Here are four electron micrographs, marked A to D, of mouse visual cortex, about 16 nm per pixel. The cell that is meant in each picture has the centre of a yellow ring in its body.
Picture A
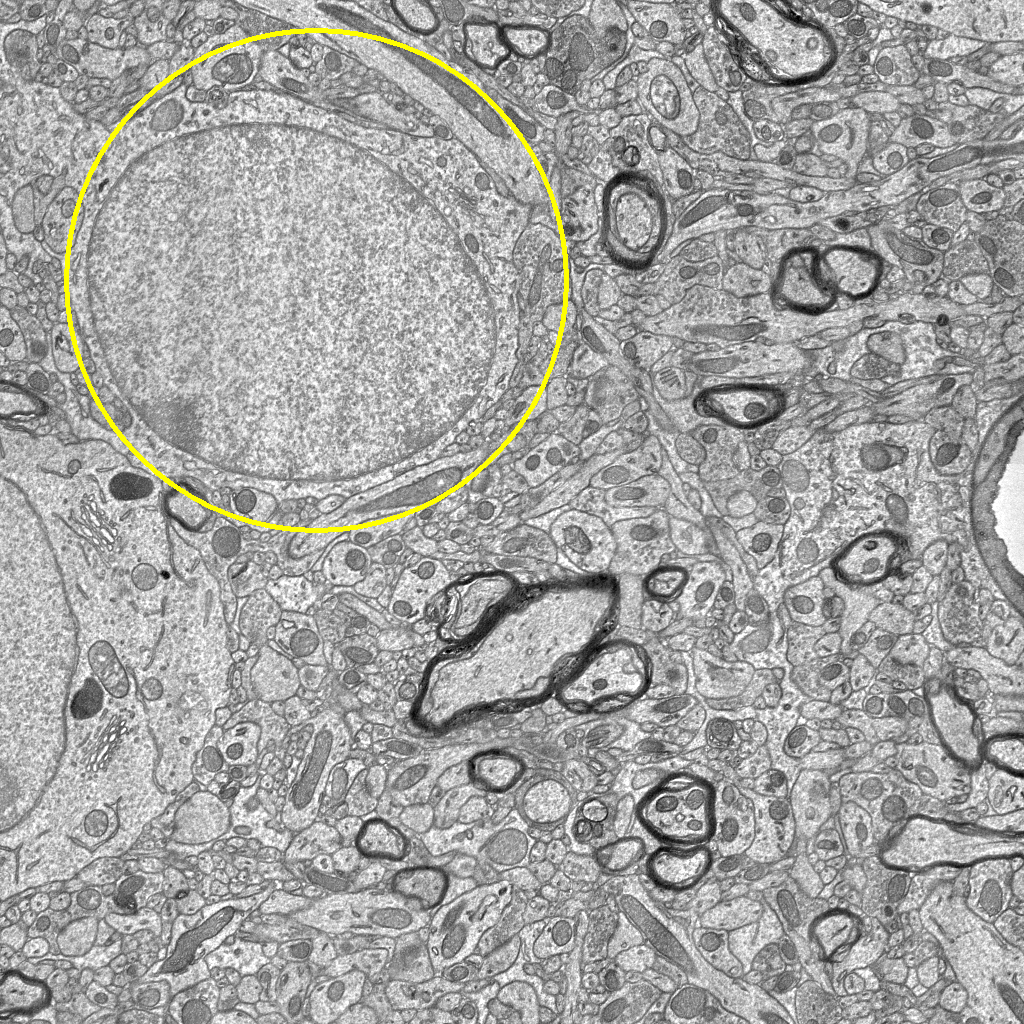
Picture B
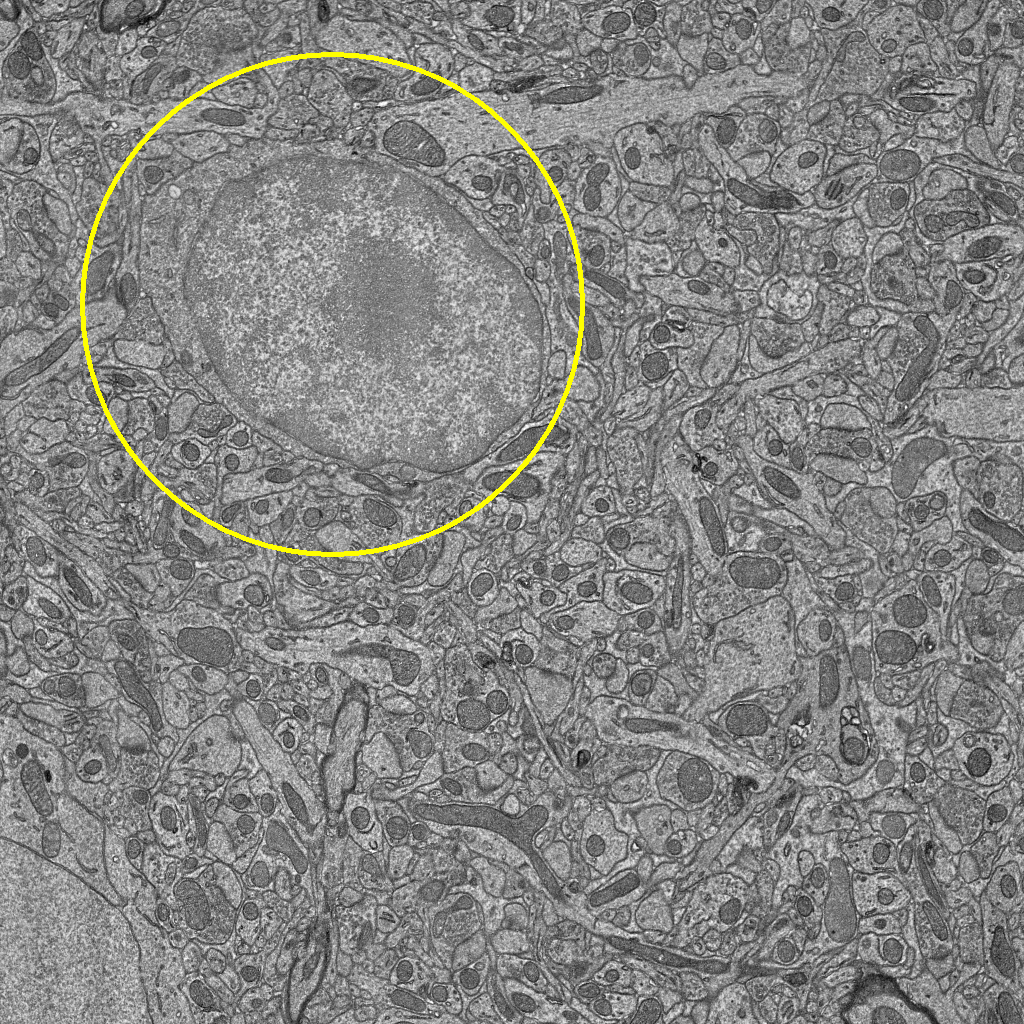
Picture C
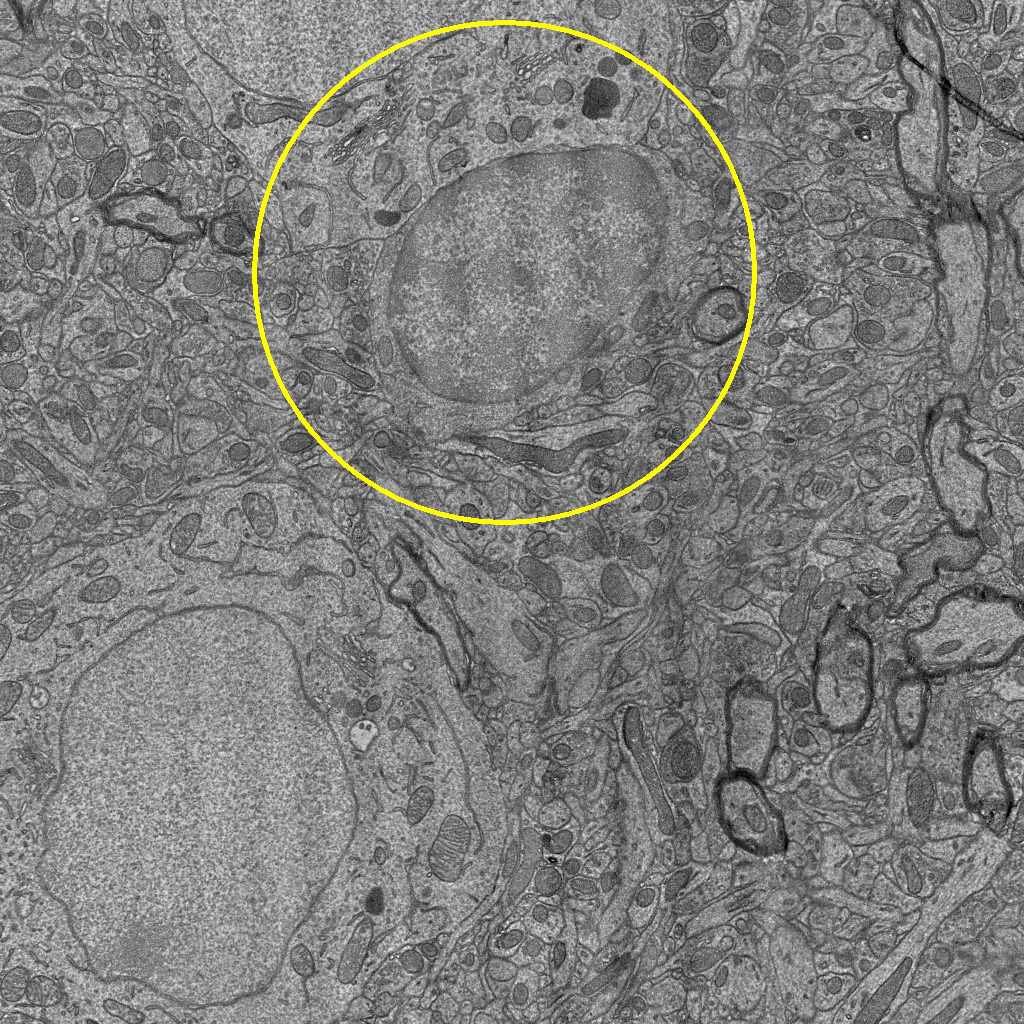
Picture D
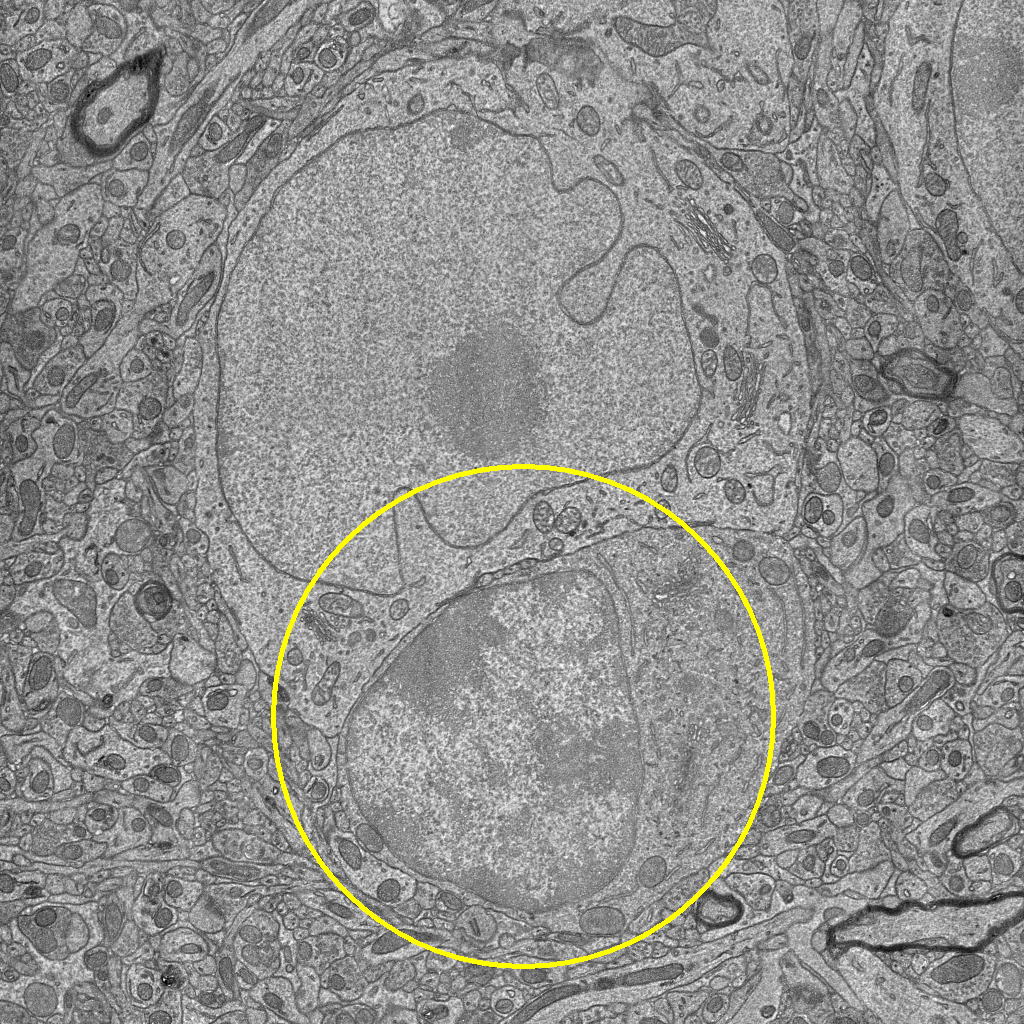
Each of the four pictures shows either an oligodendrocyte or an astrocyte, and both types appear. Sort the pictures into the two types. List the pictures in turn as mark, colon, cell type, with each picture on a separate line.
A: astrocyte
B: oligodendrocyte
C: oligodendrocyte
D: oligodendrocyte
